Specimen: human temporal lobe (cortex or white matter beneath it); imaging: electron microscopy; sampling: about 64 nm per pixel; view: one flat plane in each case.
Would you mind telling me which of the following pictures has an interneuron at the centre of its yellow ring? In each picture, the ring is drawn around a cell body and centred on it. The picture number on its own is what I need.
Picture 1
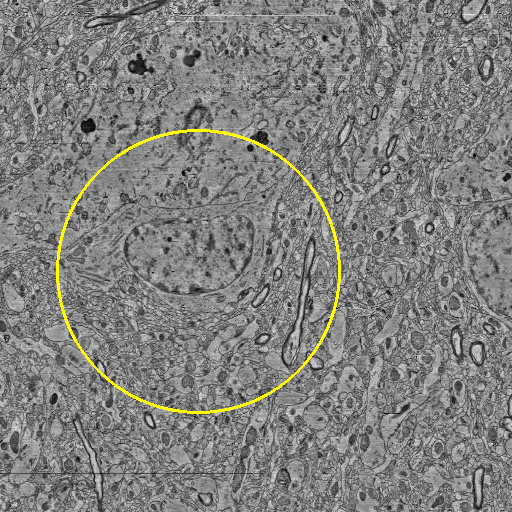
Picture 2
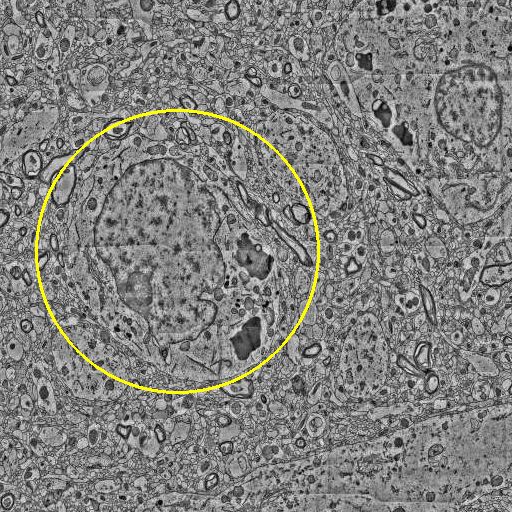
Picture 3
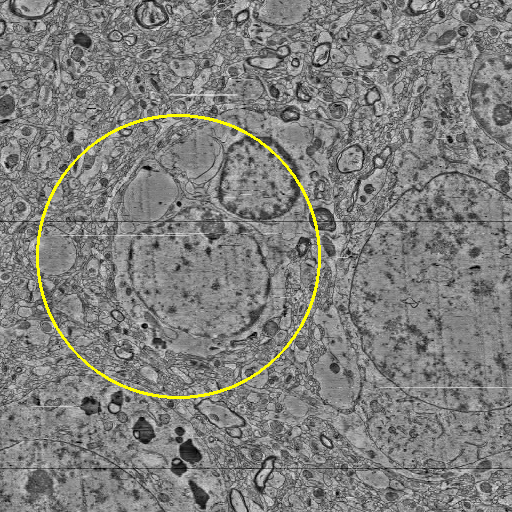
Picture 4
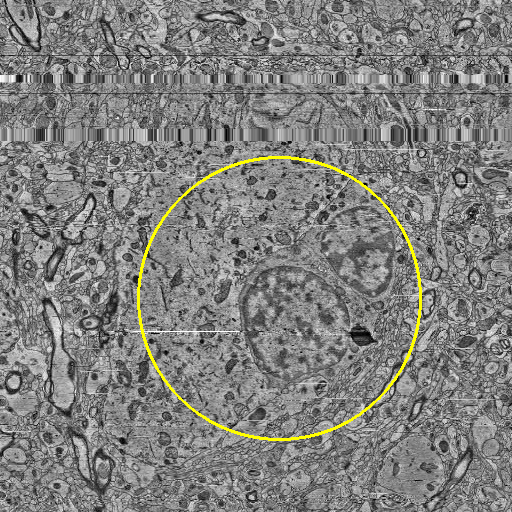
2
